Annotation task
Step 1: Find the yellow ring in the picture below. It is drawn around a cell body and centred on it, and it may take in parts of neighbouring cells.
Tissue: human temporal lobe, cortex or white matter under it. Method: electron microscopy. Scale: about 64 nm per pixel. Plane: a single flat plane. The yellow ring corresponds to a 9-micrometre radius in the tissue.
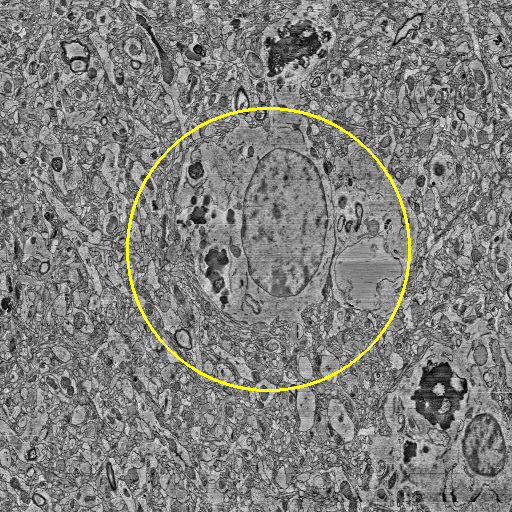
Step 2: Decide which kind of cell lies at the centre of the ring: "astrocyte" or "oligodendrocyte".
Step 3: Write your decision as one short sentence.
The kind of cell at the ring's centre is an astrocyte.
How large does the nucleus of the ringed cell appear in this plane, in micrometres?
Roughly 10 micrometres by 6 micrometres, so the nucleus is clearly longer than it is wide in this plane.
